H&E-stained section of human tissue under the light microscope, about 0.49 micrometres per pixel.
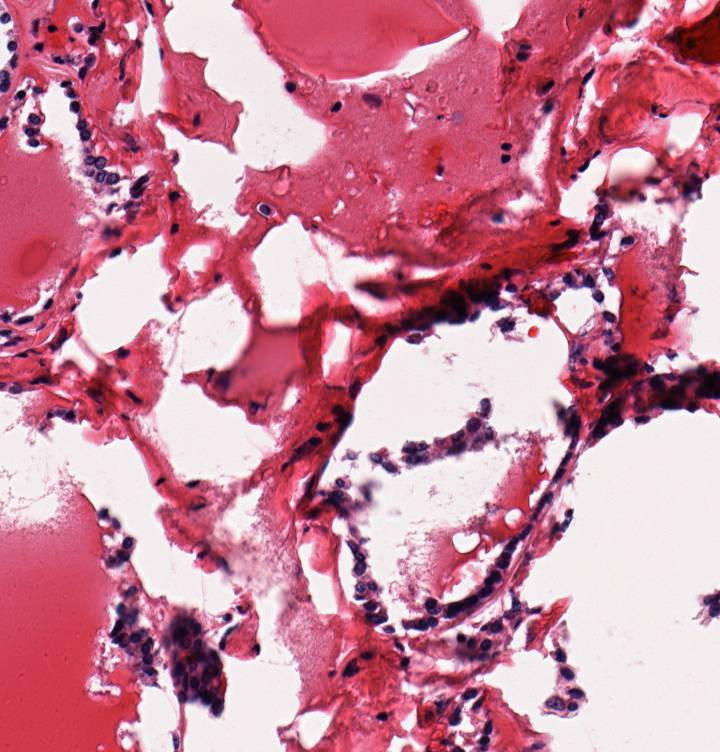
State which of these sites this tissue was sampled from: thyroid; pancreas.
thyroid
